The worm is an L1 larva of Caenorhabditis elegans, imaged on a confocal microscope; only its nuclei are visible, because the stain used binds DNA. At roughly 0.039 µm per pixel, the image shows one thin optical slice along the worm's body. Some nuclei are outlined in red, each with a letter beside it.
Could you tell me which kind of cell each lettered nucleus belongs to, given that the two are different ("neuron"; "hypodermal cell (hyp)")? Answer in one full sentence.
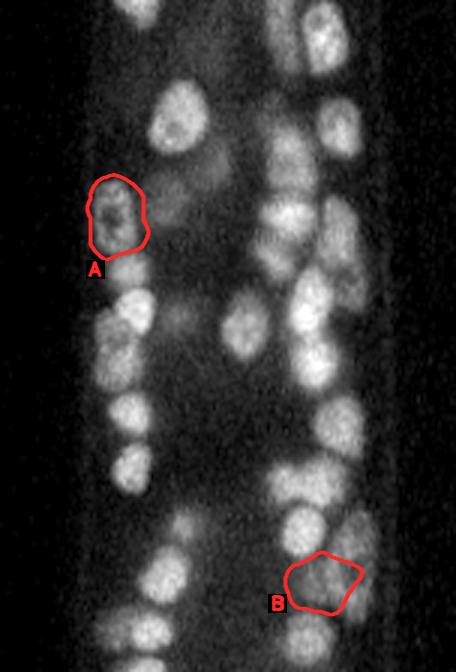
A is the nucleus of a hypodermal cell (hyp); B is the nucleus of a neuron.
